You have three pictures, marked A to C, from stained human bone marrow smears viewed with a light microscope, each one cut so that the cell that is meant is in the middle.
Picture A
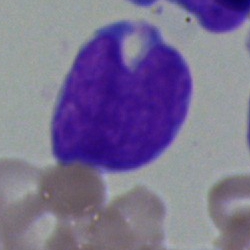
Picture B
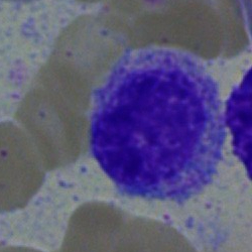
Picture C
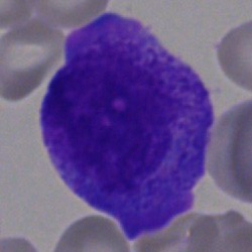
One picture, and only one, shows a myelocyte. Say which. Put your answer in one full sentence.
Picture B is the one that shows the myelocyte.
